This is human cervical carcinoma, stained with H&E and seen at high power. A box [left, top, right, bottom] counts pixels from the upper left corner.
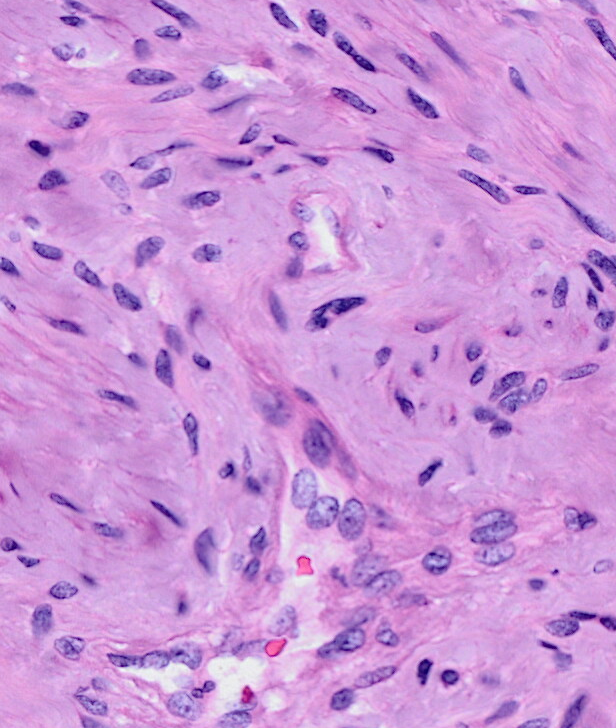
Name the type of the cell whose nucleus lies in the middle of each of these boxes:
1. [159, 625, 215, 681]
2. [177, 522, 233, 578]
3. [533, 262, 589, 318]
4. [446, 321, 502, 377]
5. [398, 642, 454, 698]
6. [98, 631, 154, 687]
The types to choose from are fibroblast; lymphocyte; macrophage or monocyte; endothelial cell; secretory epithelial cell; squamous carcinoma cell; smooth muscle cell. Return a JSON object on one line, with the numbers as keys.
{"1": "endothelial cell", "2": "fibroblast", "3": "fibroblast", "4": "smooth muscle cell", "5": "lymphocyte", "6": "endothelial cell"}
